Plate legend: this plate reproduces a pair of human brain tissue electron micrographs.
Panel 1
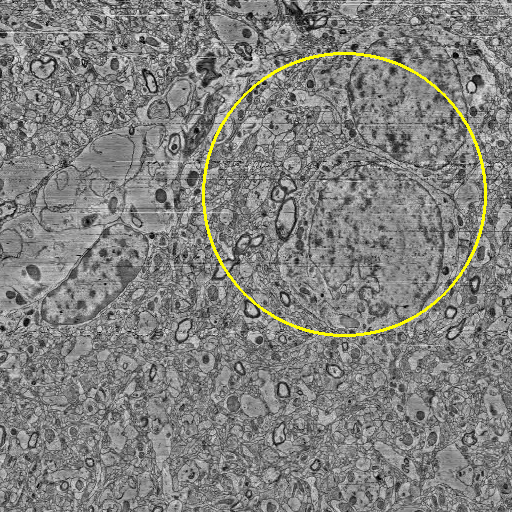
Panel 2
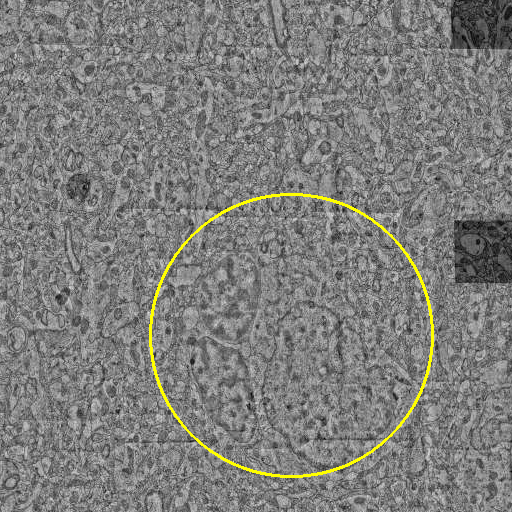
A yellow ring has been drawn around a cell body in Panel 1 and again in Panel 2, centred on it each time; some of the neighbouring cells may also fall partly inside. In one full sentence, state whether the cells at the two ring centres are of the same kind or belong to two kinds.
The ring-centred cells of Panel 1 and Panel 2 are of the same kind.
